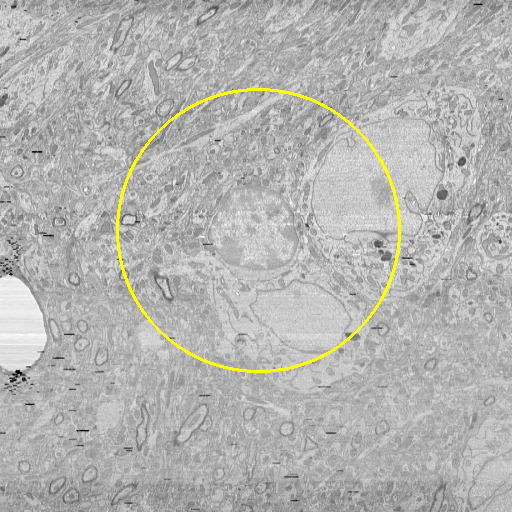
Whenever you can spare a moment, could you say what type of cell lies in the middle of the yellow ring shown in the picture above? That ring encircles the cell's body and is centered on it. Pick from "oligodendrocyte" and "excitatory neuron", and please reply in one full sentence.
The cell whose body sits at the middle of the yellow ring is an oligodendrocyte.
